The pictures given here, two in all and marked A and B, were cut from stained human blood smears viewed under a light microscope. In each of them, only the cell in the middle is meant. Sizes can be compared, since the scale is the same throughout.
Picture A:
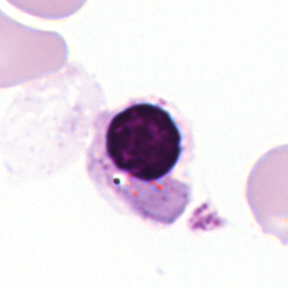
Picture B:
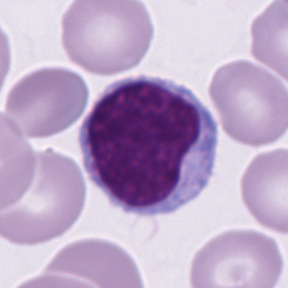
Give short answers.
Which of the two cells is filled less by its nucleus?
A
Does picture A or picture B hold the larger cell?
B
